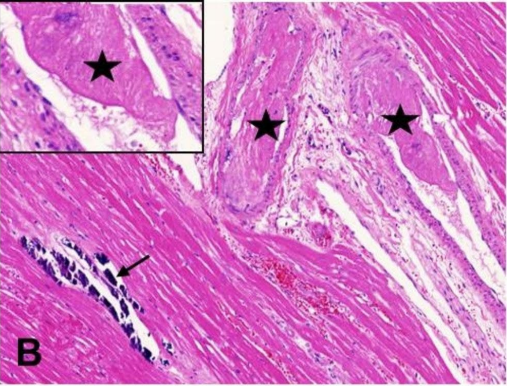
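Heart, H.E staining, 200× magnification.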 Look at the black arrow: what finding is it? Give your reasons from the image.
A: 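Dark purple-blue, granular, fractured clumps lie among pink muscle fibers. The deposits are brittle-looking with cracks around them. That points to this answer: Basophilic calcium deposition.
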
